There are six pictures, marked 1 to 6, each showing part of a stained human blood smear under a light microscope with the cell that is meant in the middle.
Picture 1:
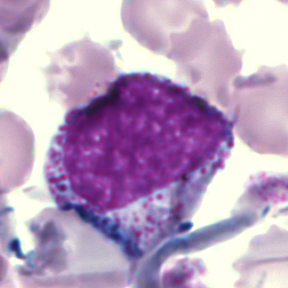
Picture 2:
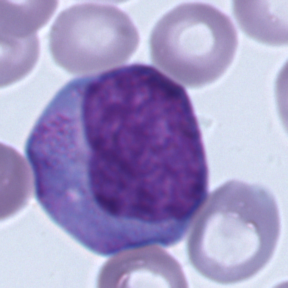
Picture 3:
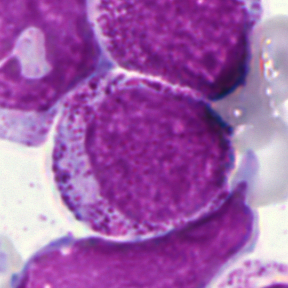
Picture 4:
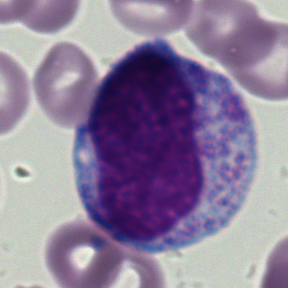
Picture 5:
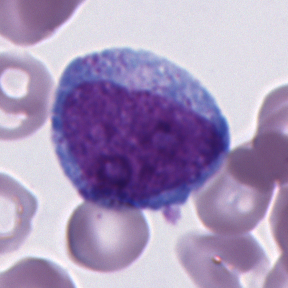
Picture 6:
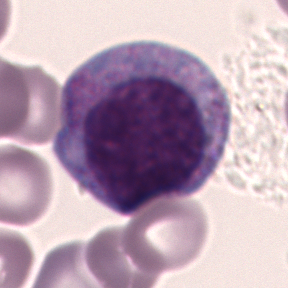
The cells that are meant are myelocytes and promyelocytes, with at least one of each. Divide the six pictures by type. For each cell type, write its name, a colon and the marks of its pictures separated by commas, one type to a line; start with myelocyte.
myelocyte: 1, 3
promyelocyte: 2, 4, 5, 6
